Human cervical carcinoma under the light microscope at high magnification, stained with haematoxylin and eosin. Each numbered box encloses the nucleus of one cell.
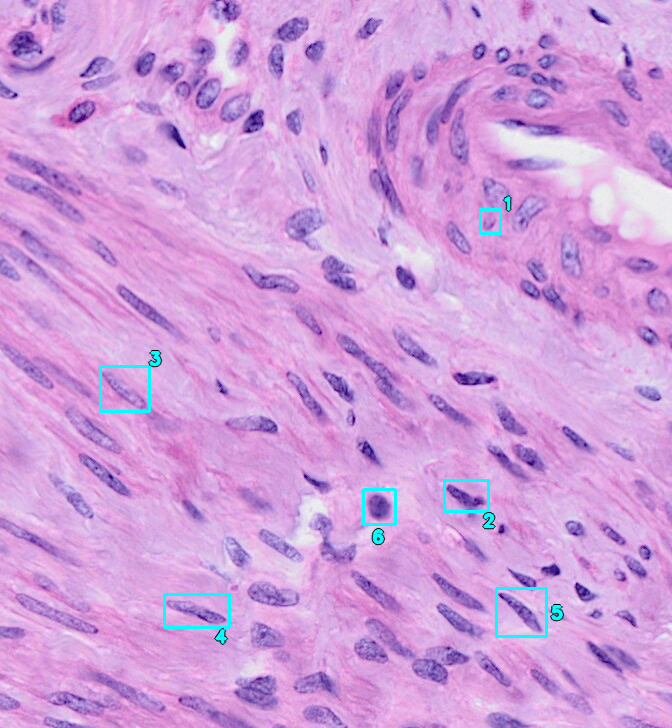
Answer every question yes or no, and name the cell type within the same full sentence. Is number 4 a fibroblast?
Yes, the cell at marker 4 is a fibroblast.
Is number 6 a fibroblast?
No, number 6 points to a lymphocyte and not to a fibroblast.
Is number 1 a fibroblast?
No, in terms of cell type, cell 1 is a smooth muscle cell, not a fibroblast.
